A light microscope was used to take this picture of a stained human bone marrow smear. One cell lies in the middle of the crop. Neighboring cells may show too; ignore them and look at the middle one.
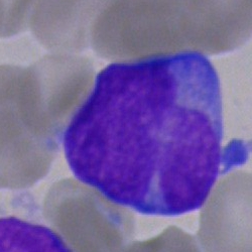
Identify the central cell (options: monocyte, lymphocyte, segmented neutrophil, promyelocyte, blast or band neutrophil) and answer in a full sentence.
The central cell in this smear crop is a blast.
